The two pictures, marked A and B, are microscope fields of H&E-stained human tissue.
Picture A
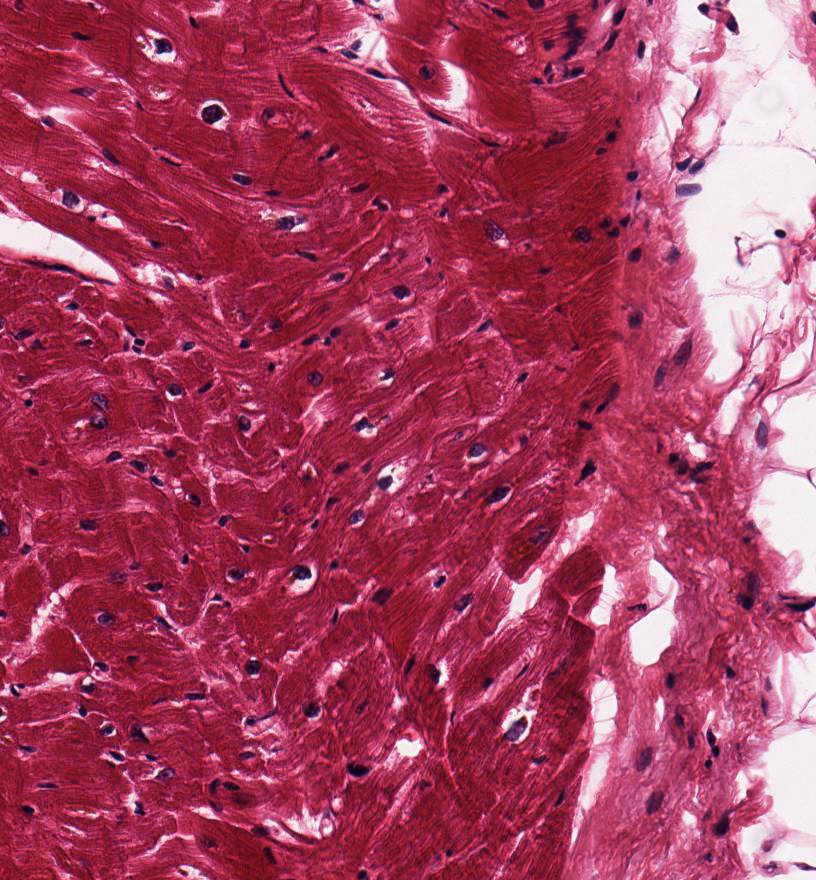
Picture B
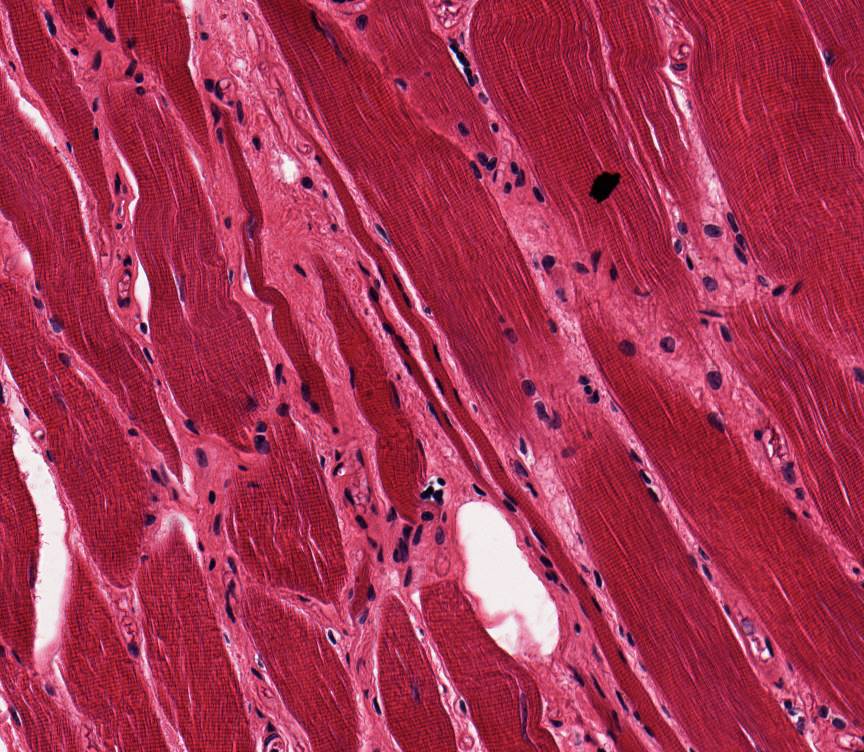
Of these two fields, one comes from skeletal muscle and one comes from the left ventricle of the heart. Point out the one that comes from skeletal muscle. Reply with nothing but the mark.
B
